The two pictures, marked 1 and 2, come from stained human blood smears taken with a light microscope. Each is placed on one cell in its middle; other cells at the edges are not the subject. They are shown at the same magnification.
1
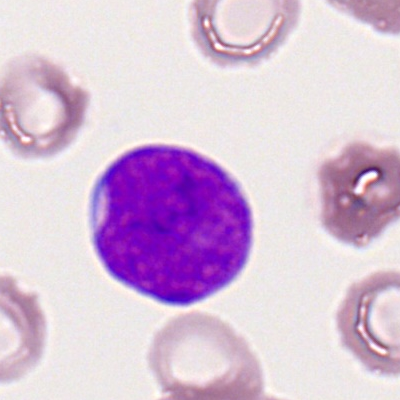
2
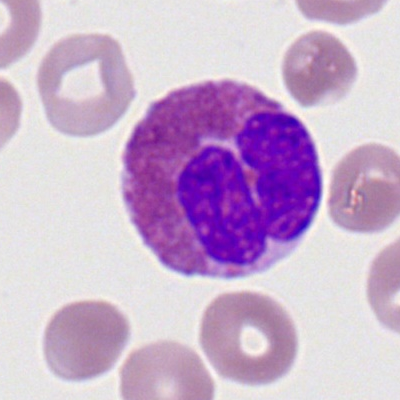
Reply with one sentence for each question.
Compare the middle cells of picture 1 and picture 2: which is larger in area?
The cell in picture 2 is larger, with about 1.5 times the area of the one in picture 1.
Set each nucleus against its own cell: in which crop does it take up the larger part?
The nucleus fills more of the cell in picture 1 than in picture 2.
